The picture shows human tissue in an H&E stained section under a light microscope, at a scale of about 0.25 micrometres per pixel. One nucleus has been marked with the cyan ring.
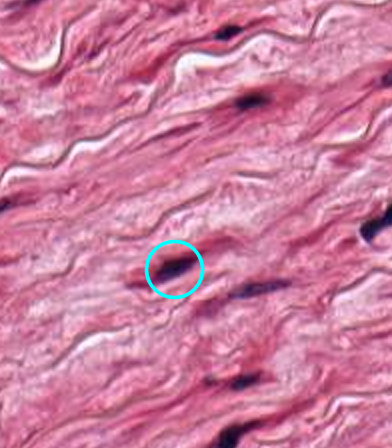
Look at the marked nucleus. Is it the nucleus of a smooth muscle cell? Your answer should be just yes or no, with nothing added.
yes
